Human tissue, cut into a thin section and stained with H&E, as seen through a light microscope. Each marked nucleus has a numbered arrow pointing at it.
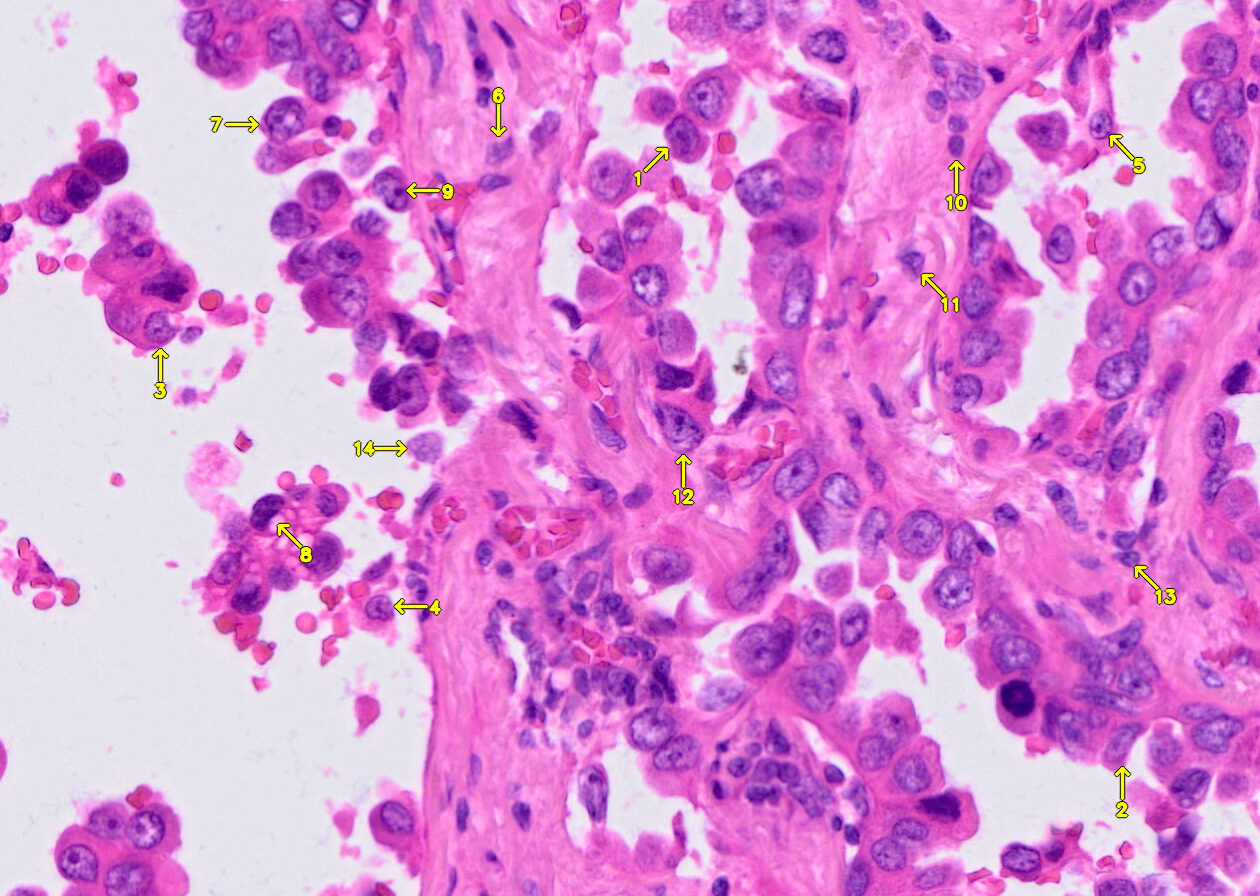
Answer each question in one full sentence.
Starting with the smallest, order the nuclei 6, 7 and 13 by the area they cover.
By area, going up from the smallest, they rank 13, 6, 7.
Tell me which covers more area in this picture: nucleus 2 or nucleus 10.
At about 2.5 times the area of nucleus 10, nucleus 2 is the larger of the two.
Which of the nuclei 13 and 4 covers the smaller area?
It is nucleus 13; nucleus 4 has about 2 times its area.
